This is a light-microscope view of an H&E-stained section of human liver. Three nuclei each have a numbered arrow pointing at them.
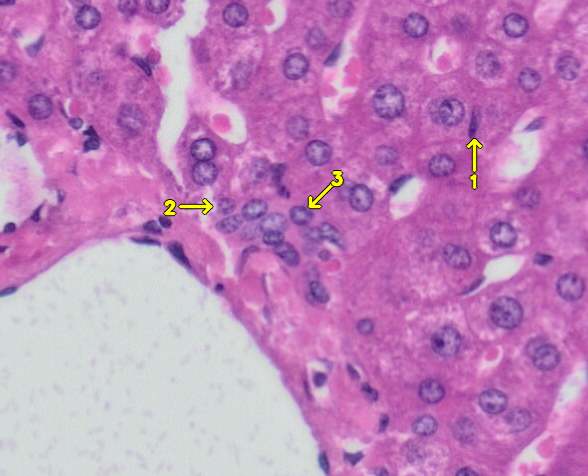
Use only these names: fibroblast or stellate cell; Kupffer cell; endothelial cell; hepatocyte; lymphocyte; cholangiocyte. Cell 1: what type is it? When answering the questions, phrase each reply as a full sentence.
The nucleus labeled 1 belongs to a fibroblast or stellate cell.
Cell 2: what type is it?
Number 2 is placed on a cholangiocyte here.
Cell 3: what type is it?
Cell 3 of the marked set is a cholangiocyte.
